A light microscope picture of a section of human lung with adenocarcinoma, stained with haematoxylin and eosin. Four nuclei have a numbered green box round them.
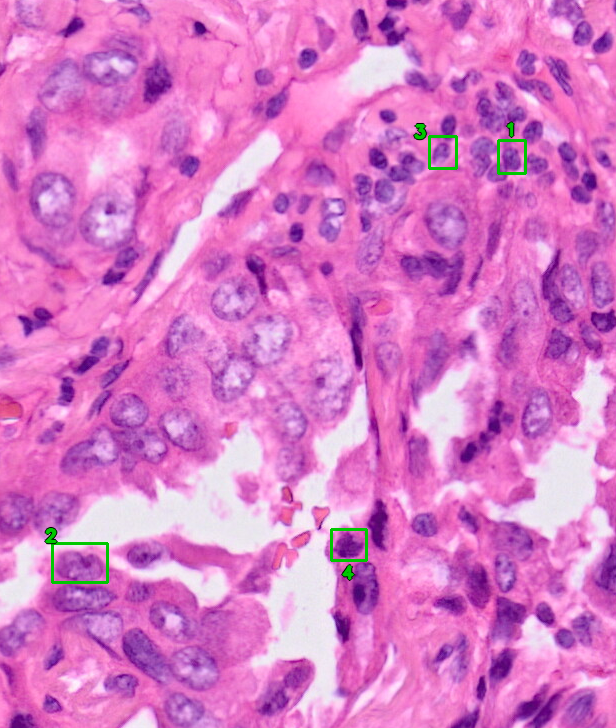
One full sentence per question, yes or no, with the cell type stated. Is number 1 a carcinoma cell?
No, number 1 does not mark a carcinoma cell; it marks a lymphocyte.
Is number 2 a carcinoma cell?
Yes, the cell tagged with the number 2 is a carcinoma cell.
